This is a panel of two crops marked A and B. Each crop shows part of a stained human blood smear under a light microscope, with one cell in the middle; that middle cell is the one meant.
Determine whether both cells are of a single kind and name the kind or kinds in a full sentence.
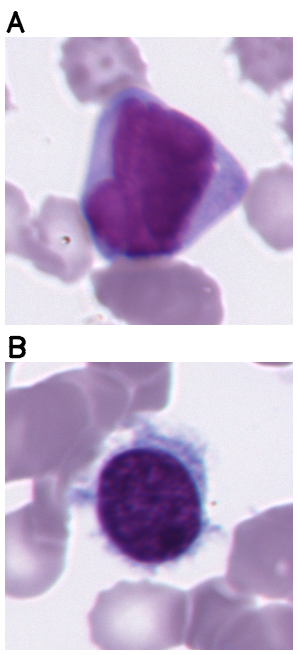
No, the cell in crop A is a blast, and the cell in crop B is a hairy cell.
